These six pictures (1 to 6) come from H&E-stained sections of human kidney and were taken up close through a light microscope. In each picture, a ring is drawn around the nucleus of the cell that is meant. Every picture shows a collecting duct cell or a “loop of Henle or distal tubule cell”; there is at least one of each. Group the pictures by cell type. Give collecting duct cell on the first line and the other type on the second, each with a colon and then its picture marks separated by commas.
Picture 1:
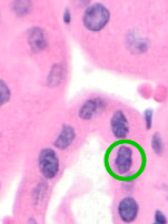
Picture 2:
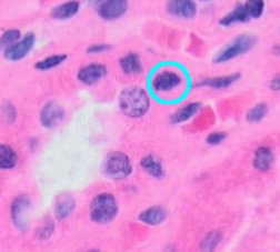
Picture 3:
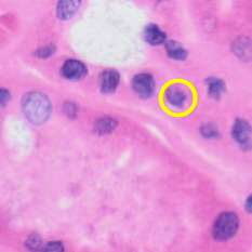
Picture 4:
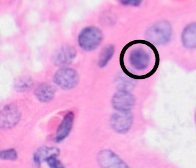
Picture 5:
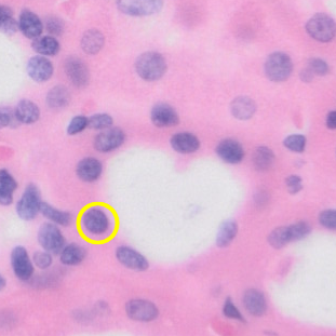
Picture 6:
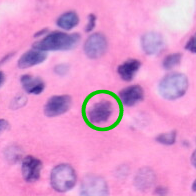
collecting duct cell: 1, 4
loop of Henle or distal tubule cell: 2, 3, 5, 6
